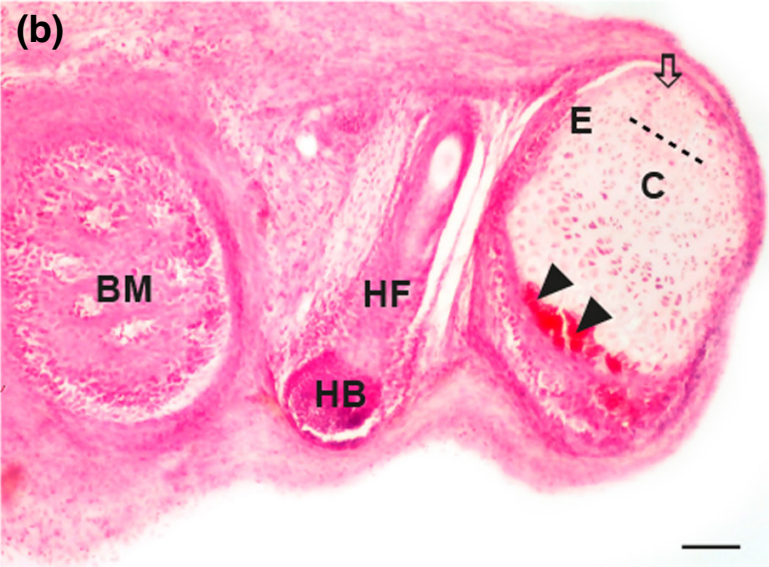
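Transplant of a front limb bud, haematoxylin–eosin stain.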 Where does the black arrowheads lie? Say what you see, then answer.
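Ossification zone. The arrowheads point to a bright red region at the lower edge of the pale cartilage. The red region borders the cartilage on the side away from the top surface.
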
